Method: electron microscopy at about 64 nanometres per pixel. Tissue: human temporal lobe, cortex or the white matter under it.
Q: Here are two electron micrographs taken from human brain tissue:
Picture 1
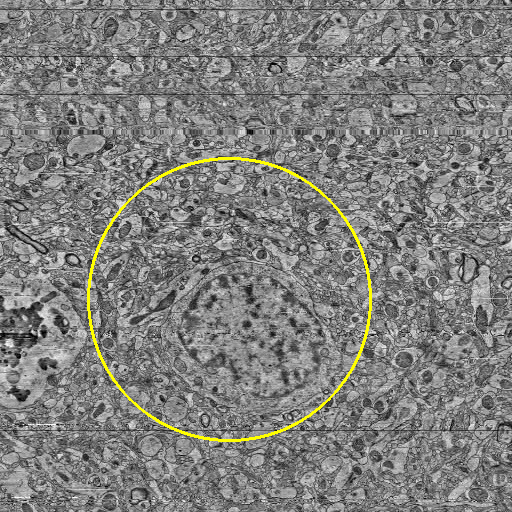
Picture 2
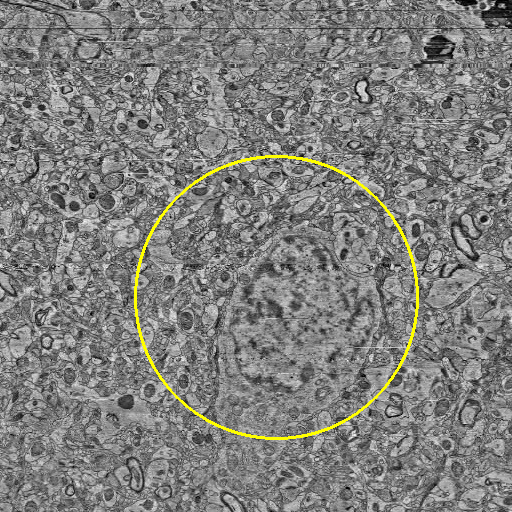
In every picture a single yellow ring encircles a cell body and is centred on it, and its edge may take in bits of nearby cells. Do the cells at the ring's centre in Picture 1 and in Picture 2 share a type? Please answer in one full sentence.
Yes, the cells at the ring's centre in Picture 1 and Picture 2 share a type.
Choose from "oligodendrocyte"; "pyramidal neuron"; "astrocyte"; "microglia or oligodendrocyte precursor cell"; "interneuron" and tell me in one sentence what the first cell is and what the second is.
Both pictures show an interneuron at the centre of the ring.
